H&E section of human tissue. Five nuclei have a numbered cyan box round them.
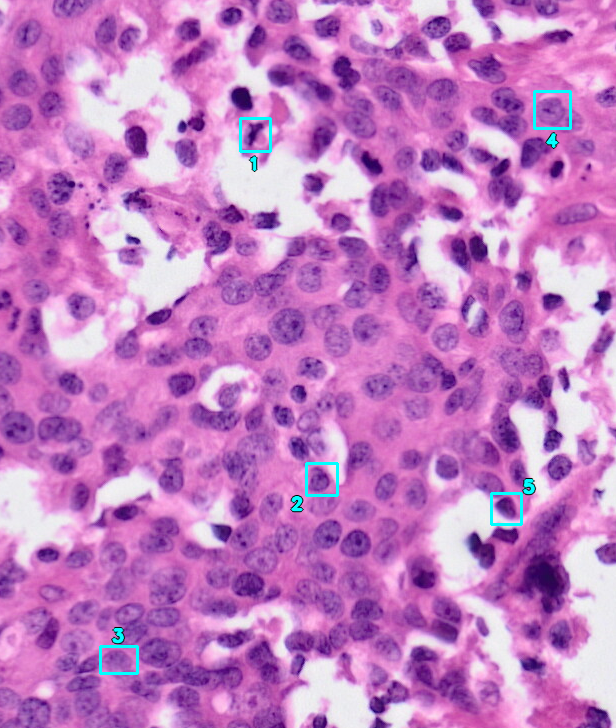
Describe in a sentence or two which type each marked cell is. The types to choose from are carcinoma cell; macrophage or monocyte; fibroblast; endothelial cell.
Cells 1 and 2 are macrophages or monocytes. Cells 3, 4 and 5 are carcinoma cells.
